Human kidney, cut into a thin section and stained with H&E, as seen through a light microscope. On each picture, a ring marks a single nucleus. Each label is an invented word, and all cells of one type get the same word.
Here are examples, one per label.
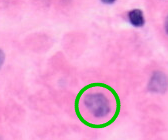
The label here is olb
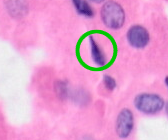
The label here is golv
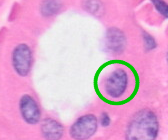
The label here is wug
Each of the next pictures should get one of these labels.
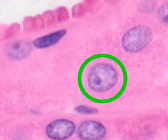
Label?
olb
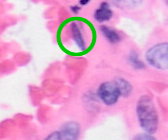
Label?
golv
